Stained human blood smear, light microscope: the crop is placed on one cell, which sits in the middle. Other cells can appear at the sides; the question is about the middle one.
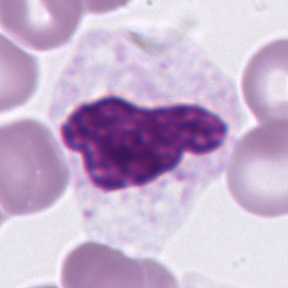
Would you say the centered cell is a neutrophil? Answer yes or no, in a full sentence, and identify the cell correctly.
Yes, the middle cell here is a neutrophil.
